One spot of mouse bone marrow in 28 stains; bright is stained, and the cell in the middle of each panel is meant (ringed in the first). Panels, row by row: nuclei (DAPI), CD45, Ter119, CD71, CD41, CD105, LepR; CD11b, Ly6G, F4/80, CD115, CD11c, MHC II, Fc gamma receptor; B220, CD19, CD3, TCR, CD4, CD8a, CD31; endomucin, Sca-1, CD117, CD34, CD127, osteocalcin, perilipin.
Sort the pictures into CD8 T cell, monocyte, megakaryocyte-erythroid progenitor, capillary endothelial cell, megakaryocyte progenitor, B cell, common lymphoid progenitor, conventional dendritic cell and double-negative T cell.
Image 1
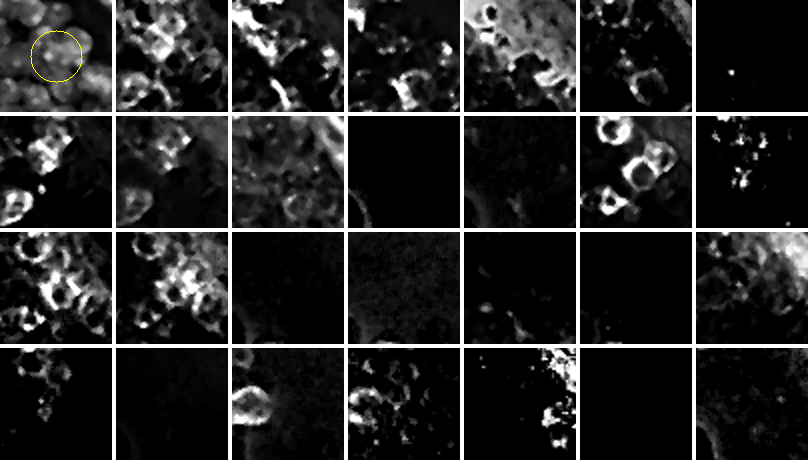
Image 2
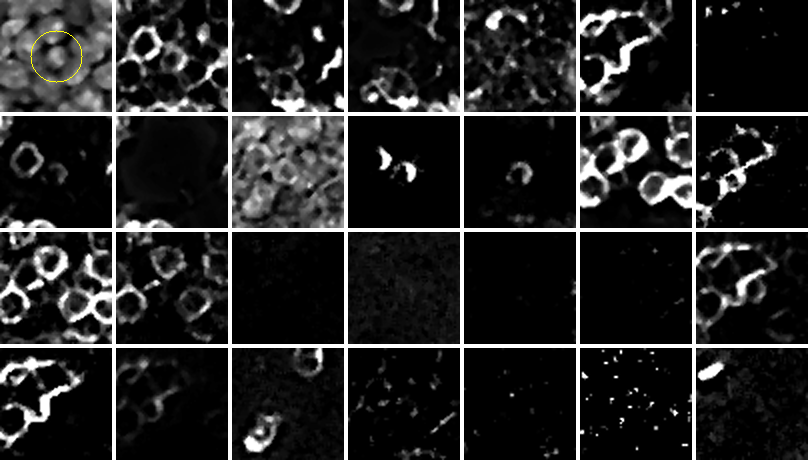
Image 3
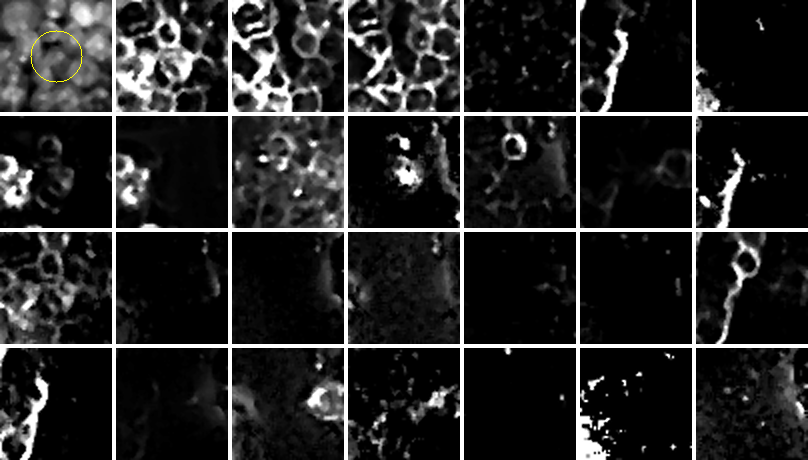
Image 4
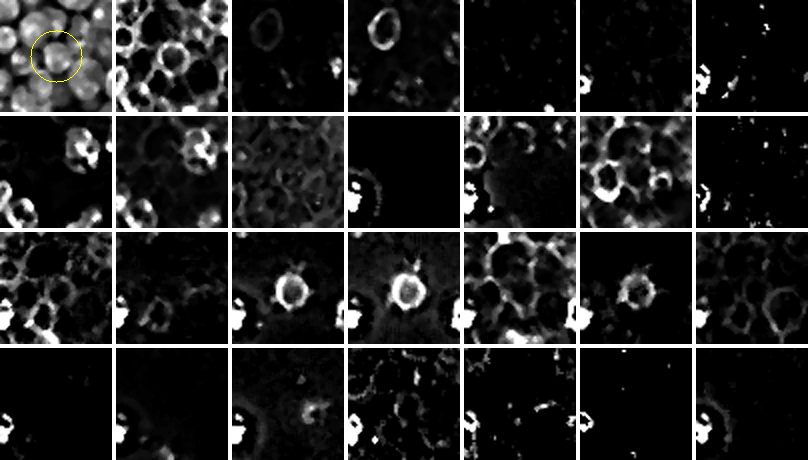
B cells: 1
Capillary endothelial cells: 2
Monocytes: 3
CD8 T cells: 4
